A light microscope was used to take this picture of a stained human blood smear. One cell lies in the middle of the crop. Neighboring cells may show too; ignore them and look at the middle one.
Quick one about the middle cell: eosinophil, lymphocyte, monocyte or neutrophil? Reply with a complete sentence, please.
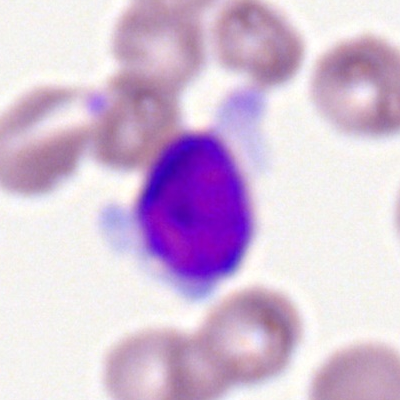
Where the crop is centred, there is a lymphocyte.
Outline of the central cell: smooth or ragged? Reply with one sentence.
The edge of the cell is broken up by ragged stretches or by outward projections.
